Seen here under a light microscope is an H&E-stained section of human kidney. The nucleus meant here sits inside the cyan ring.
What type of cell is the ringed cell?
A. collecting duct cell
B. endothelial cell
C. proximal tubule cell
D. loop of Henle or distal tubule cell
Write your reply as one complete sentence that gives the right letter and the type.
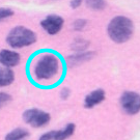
Option A is correct in that the ringed cell is a collecting duct cell.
